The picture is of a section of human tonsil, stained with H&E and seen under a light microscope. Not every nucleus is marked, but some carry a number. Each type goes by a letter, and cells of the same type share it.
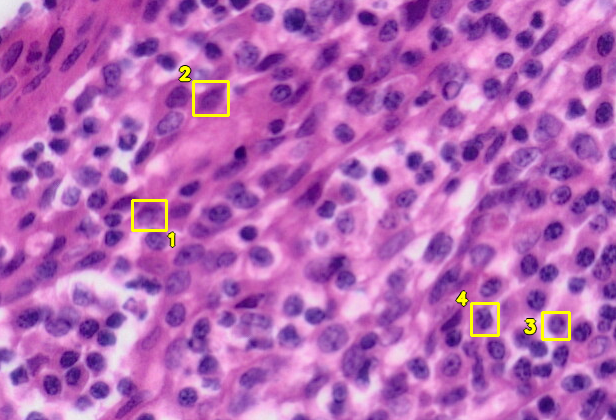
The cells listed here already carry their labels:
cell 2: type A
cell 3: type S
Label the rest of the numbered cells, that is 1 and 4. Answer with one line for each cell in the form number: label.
1: type A
4: type S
